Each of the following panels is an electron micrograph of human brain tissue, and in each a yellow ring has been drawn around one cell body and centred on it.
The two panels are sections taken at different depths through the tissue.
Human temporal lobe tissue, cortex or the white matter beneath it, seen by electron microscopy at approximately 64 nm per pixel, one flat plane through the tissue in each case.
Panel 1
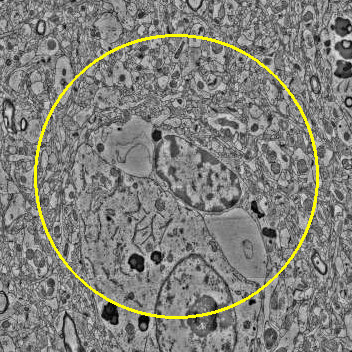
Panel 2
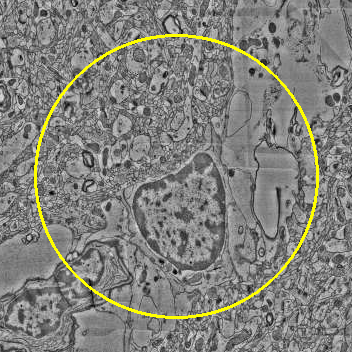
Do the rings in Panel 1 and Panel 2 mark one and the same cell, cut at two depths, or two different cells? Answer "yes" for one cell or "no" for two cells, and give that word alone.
no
